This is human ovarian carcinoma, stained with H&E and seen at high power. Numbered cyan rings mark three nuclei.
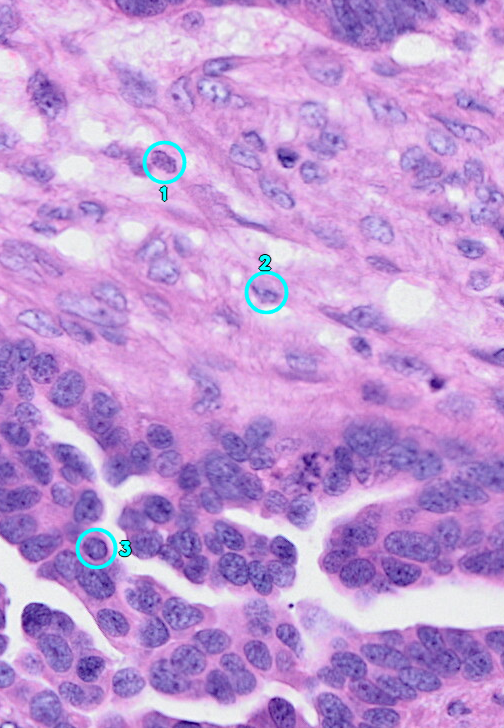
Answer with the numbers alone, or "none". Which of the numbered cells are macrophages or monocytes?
1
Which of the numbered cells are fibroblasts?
2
